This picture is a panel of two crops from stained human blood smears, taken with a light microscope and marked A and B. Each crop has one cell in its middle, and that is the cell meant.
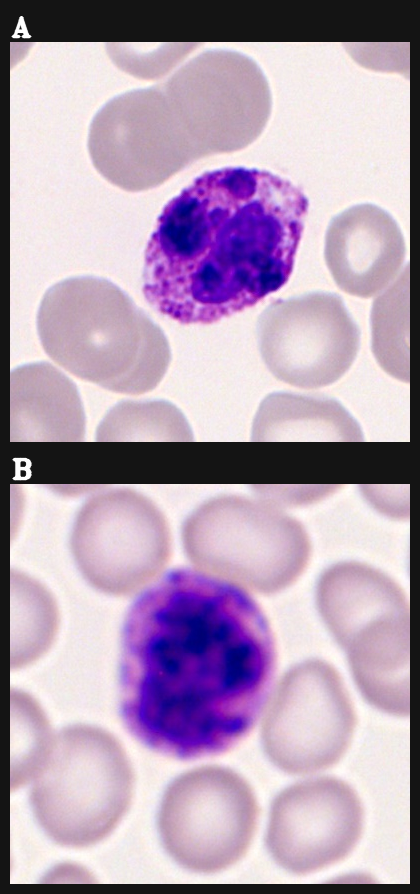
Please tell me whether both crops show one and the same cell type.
yes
